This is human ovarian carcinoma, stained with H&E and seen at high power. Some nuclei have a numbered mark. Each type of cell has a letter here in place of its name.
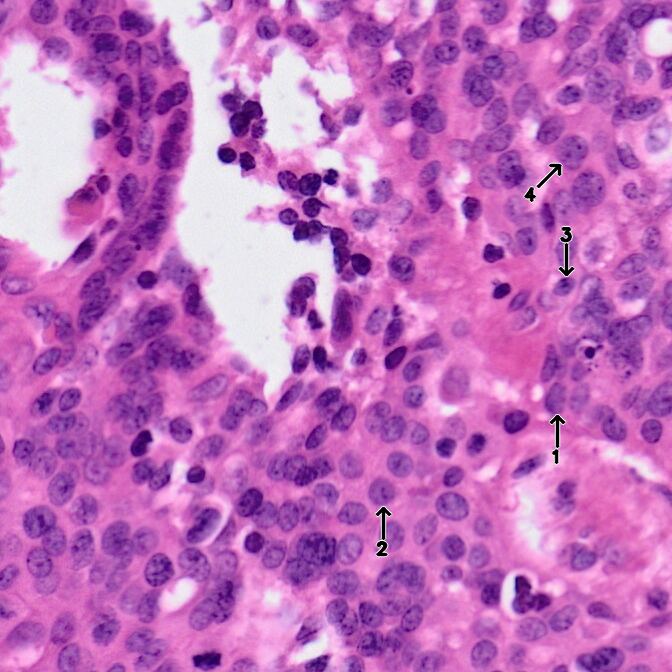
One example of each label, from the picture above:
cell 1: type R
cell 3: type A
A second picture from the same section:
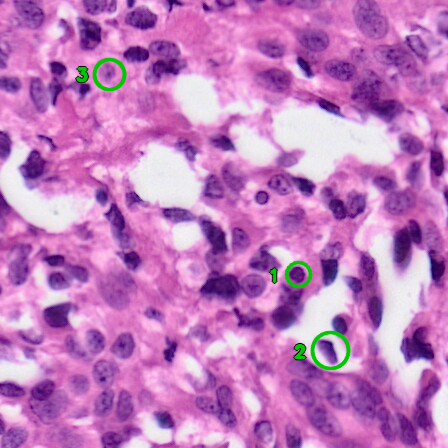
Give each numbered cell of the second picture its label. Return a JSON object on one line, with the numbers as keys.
{"1": "type R", "2": "type R", "3": "type A"}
